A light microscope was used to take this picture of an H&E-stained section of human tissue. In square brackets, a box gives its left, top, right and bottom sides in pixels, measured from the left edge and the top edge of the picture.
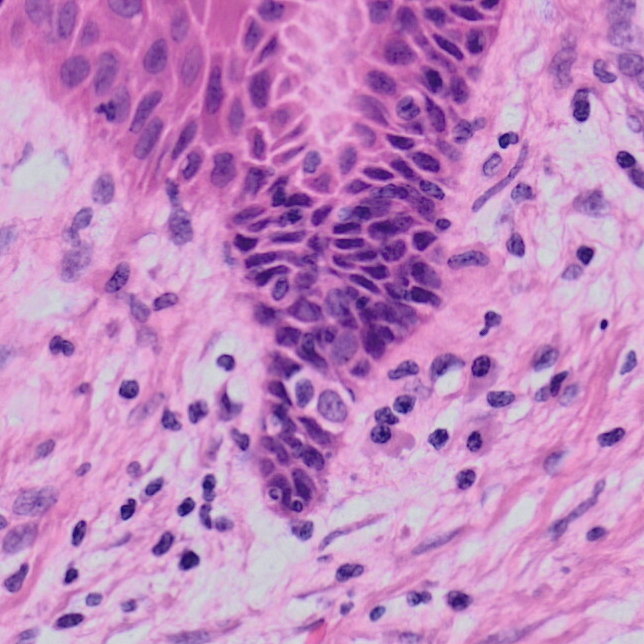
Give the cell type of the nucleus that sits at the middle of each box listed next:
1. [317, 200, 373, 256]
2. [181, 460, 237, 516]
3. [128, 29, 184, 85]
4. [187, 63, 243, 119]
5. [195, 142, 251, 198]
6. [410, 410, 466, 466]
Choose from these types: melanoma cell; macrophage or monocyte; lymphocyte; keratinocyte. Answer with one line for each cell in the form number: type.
1: keratinocyte
2: lymphocyte
3: keratinocyte
4: keratinocyte
5: keratinocyte
6: lymphocyte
